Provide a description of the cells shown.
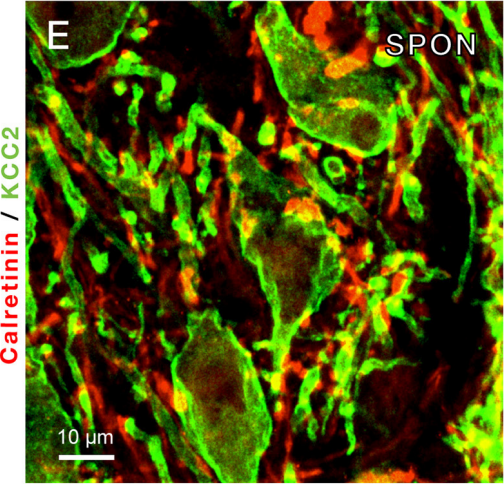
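Among and against them run many red fibers, some beaded, that wind between the cells and the green dendrites. The neuropil between the somata is crowded with these intertwined red and green profiles, giving a dense, tangled appearance of fibers innervating the nucleus.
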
